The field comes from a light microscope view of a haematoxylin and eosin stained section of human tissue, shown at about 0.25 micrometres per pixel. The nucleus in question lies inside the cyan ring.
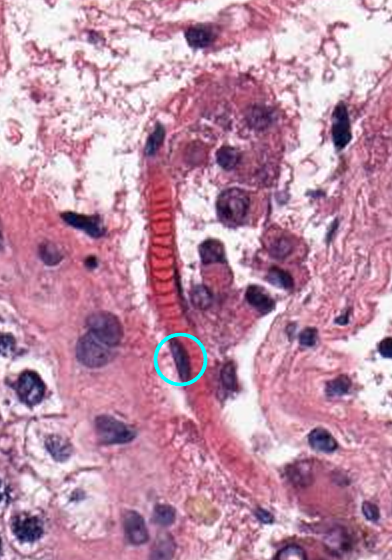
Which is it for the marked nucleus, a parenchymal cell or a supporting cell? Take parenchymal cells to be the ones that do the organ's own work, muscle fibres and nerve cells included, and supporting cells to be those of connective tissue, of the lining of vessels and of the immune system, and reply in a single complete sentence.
Lying in a supporting cell is the marked nucleus.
